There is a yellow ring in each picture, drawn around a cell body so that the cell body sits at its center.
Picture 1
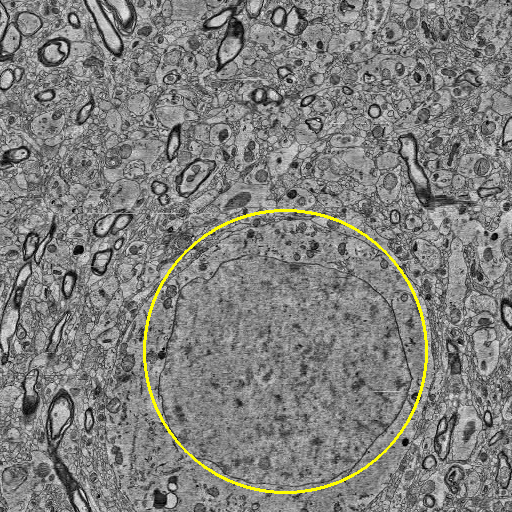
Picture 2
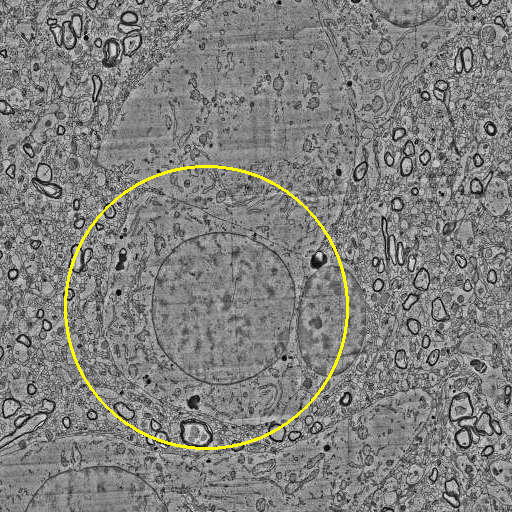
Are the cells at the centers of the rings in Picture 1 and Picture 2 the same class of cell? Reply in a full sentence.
Yes, the two cells are the same class of cell.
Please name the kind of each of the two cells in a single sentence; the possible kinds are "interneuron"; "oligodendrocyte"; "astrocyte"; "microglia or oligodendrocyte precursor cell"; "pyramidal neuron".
Both pictures show a pyramidal neuron at the centre of the ring.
